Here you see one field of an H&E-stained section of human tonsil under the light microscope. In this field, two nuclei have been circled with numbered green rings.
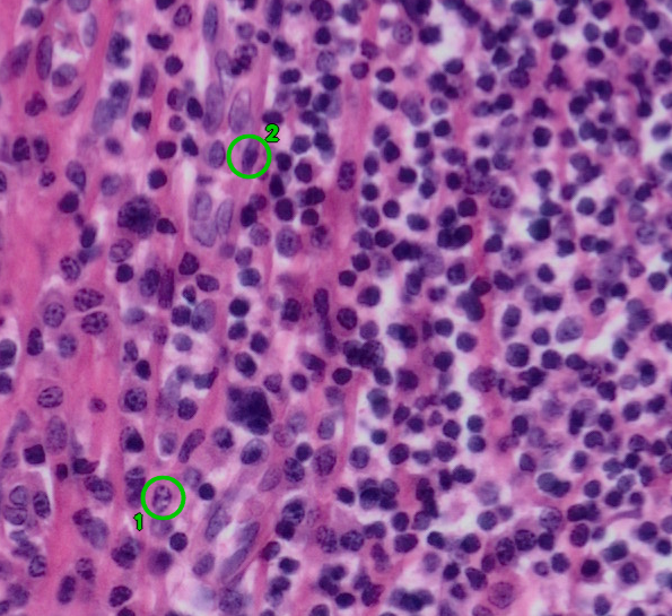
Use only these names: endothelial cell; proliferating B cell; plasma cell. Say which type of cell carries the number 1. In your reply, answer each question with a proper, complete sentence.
The marked cell bearing number 1 is a plasma cell.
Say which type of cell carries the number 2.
The cell pointed out by number 2 is an endothelial cell.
